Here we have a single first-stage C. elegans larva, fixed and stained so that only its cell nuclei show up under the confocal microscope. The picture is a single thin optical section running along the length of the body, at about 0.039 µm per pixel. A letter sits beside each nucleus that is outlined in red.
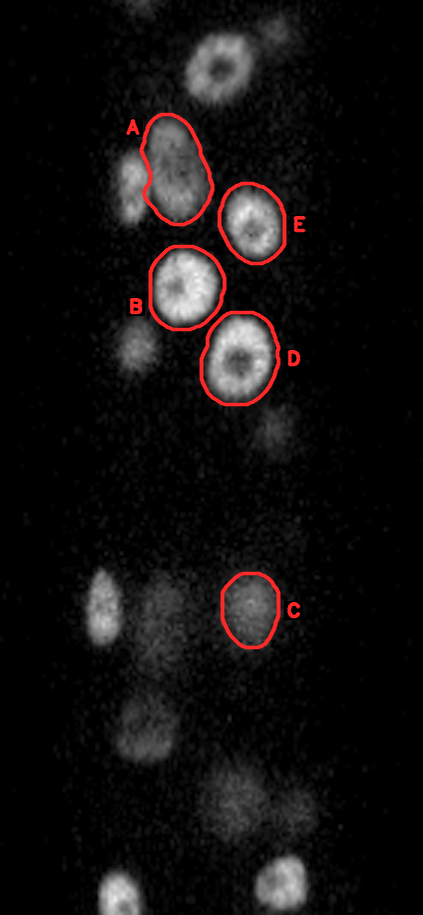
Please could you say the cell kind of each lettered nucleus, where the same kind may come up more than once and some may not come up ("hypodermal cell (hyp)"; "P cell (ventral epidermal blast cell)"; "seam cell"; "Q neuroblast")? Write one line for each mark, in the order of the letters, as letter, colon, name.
A: hypodermal cell (hyp)
B: seam cell
C: P cell (ventral epidermal blast cell)
D: Q neuroblast
E: P cell (ventral epidermal blast cell)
